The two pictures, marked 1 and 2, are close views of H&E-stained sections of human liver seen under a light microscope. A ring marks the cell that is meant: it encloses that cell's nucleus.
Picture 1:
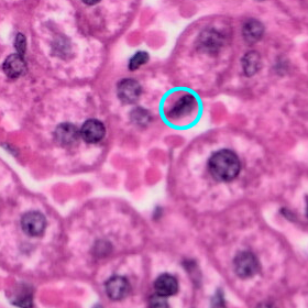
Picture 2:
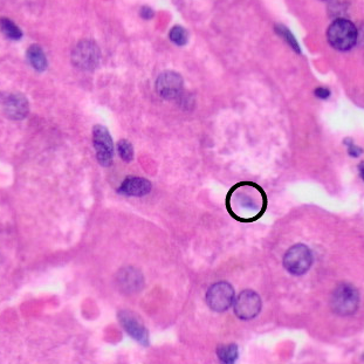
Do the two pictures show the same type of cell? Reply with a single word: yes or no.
no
